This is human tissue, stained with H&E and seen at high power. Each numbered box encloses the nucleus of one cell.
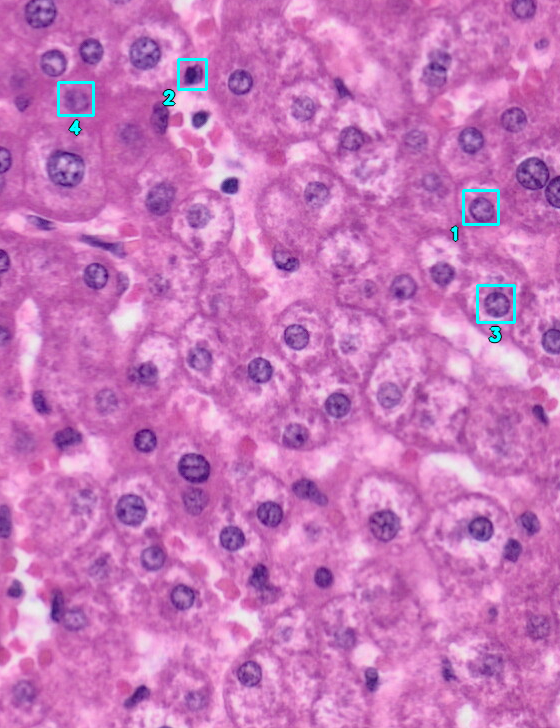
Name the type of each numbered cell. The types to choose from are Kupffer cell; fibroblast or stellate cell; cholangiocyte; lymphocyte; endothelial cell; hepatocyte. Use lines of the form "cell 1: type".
cell 1: hepatocyte
cell 2: fibroblast or stellate cell
cell 3: hepatocyte
cell 4: hepatocyte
